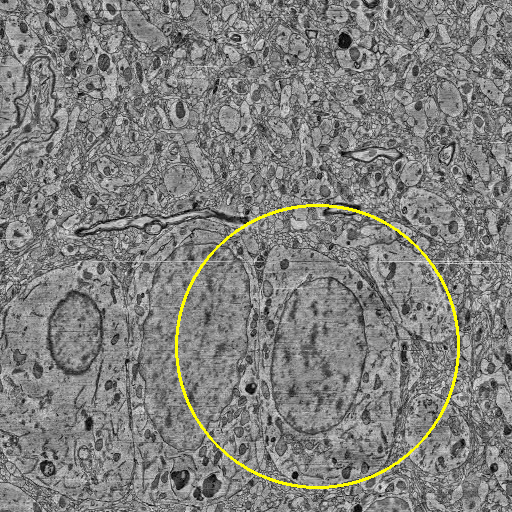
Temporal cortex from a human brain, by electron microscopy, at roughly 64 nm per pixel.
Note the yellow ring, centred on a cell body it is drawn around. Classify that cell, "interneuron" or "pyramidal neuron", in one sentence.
The cell the ring is centred on is a pyramidal neuron.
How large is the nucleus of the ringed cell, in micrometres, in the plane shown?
About 10 by 6 micrometers; the nucleus is clearly longer than it is wide in this plane.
